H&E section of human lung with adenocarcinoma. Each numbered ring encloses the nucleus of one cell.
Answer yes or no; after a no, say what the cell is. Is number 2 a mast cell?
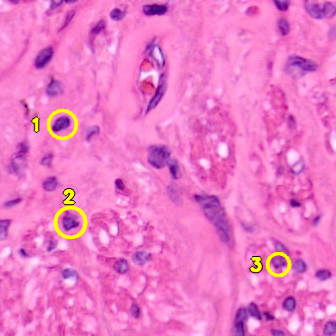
Yes.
